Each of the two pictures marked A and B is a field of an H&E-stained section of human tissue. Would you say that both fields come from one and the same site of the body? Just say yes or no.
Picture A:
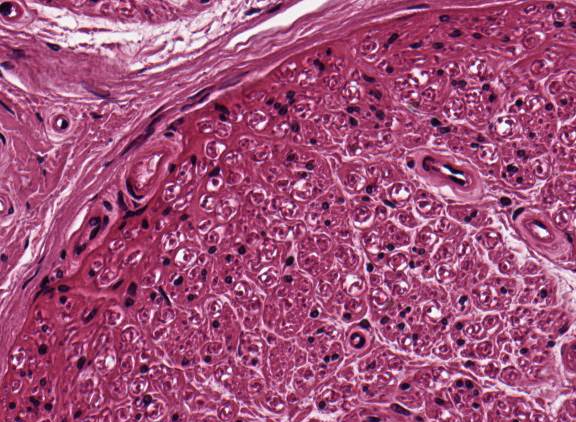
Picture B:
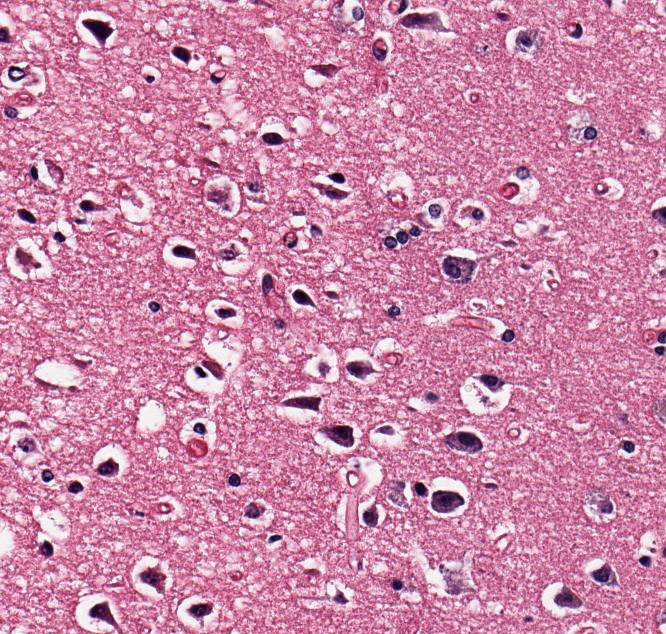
no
